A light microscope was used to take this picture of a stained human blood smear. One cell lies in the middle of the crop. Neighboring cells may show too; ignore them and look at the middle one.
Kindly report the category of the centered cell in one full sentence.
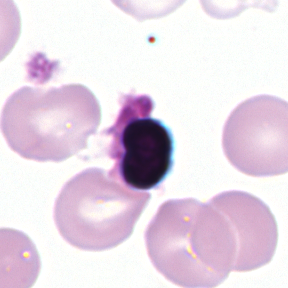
The cell in the middle of the field of view is a normoblast.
